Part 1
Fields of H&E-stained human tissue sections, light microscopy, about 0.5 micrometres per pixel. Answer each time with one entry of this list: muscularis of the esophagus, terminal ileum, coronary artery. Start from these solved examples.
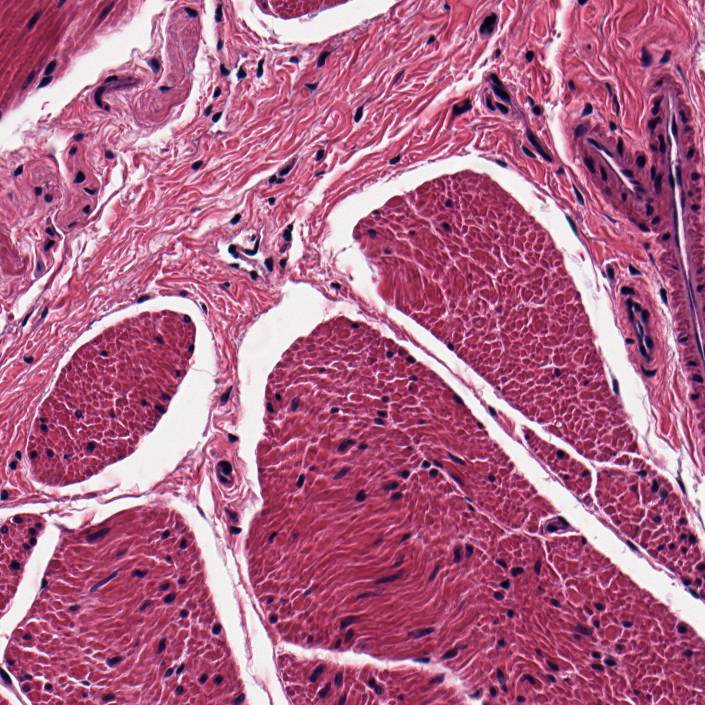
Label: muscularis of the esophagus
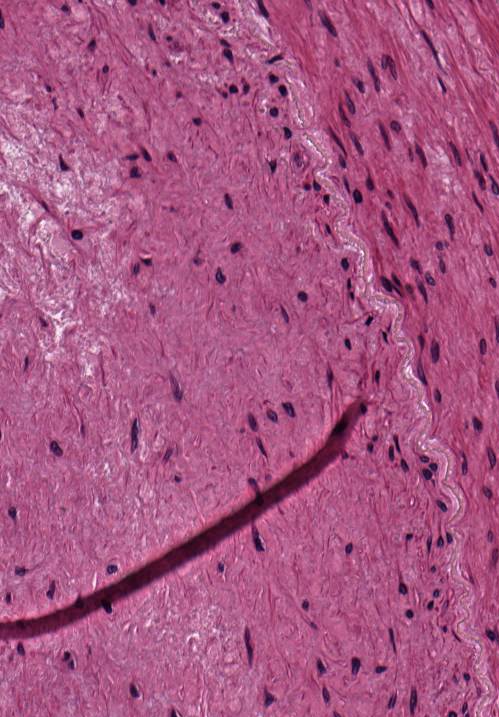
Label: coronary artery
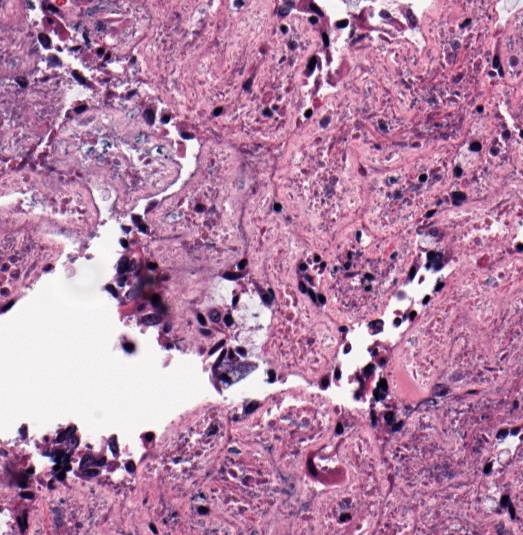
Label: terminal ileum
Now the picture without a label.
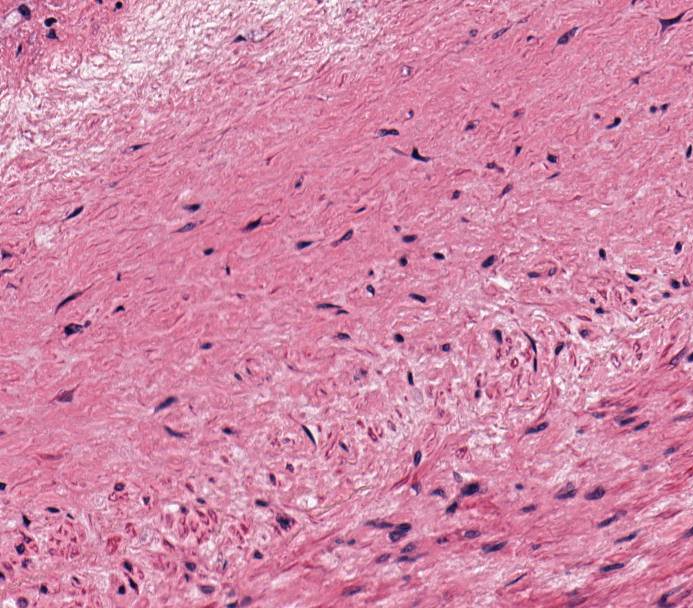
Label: coronary artery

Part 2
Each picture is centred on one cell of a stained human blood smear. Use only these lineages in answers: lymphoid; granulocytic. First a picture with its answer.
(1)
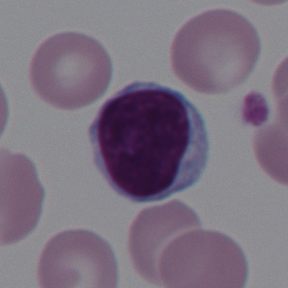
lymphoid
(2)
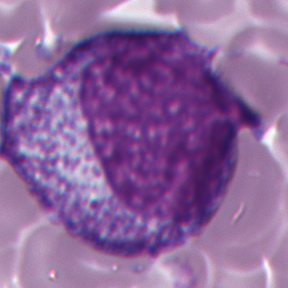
granulocytic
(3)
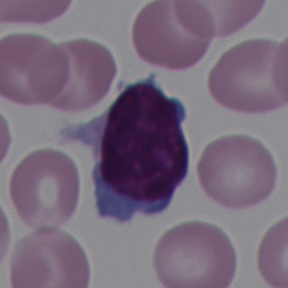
lymphoid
